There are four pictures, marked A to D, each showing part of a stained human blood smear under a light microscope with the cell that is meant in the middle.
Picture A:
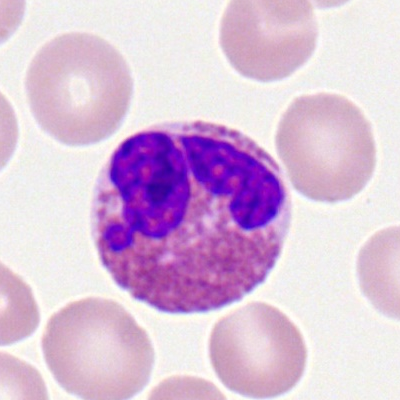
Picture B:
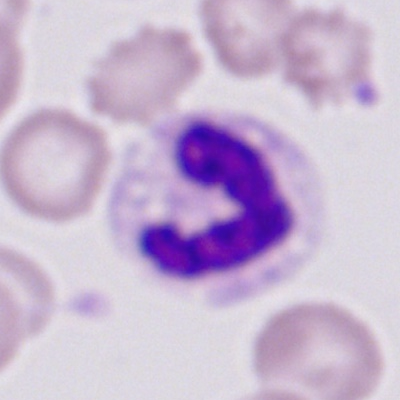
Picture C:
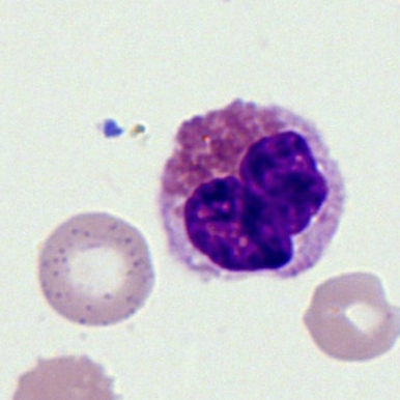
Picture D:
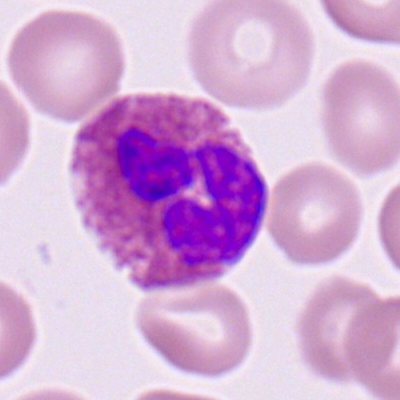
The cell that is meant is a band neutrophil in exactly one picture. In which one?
B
